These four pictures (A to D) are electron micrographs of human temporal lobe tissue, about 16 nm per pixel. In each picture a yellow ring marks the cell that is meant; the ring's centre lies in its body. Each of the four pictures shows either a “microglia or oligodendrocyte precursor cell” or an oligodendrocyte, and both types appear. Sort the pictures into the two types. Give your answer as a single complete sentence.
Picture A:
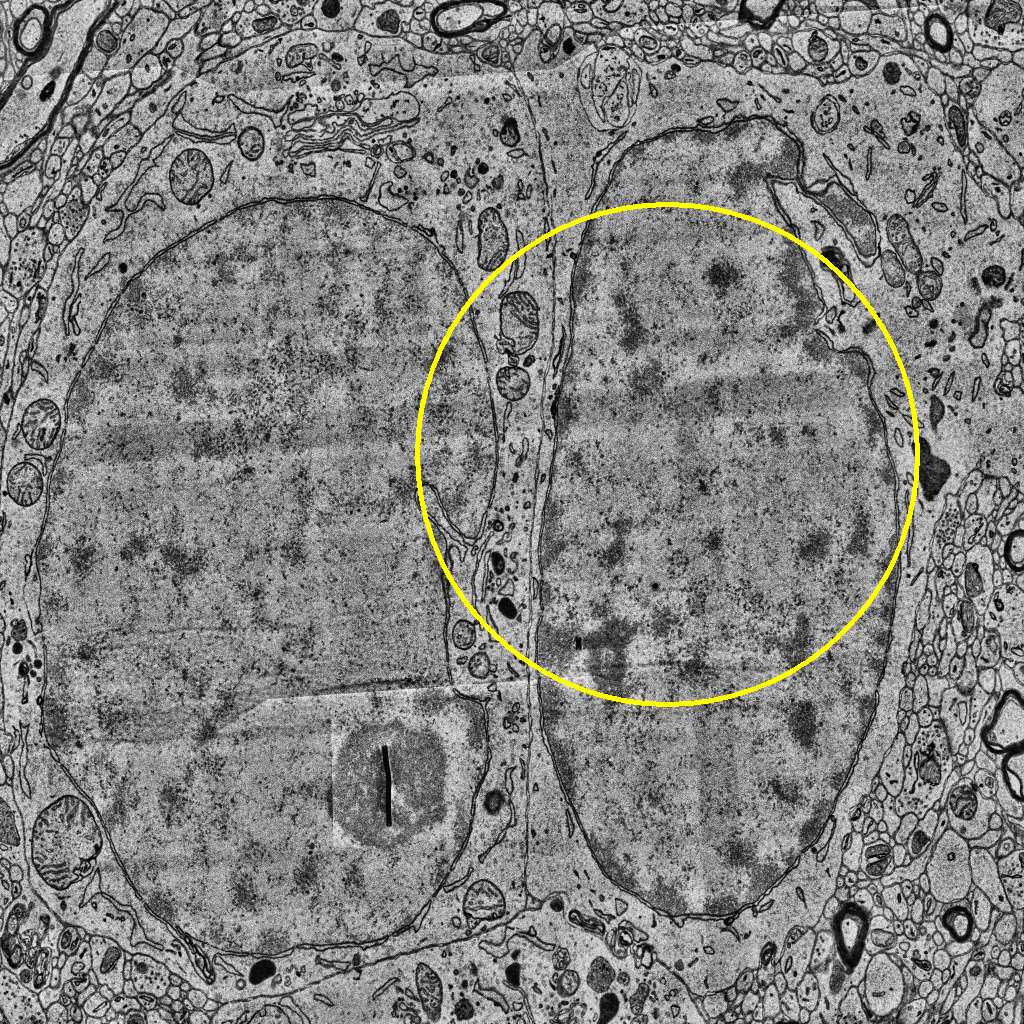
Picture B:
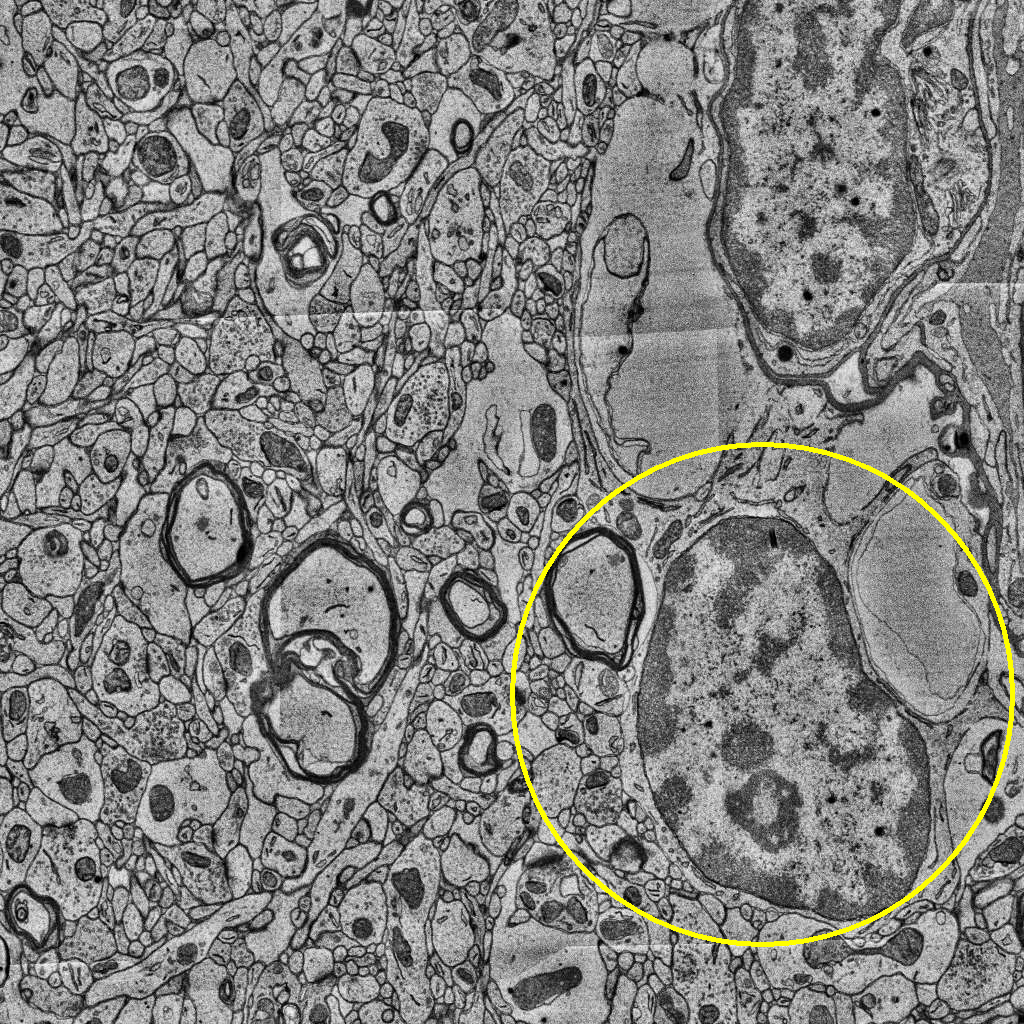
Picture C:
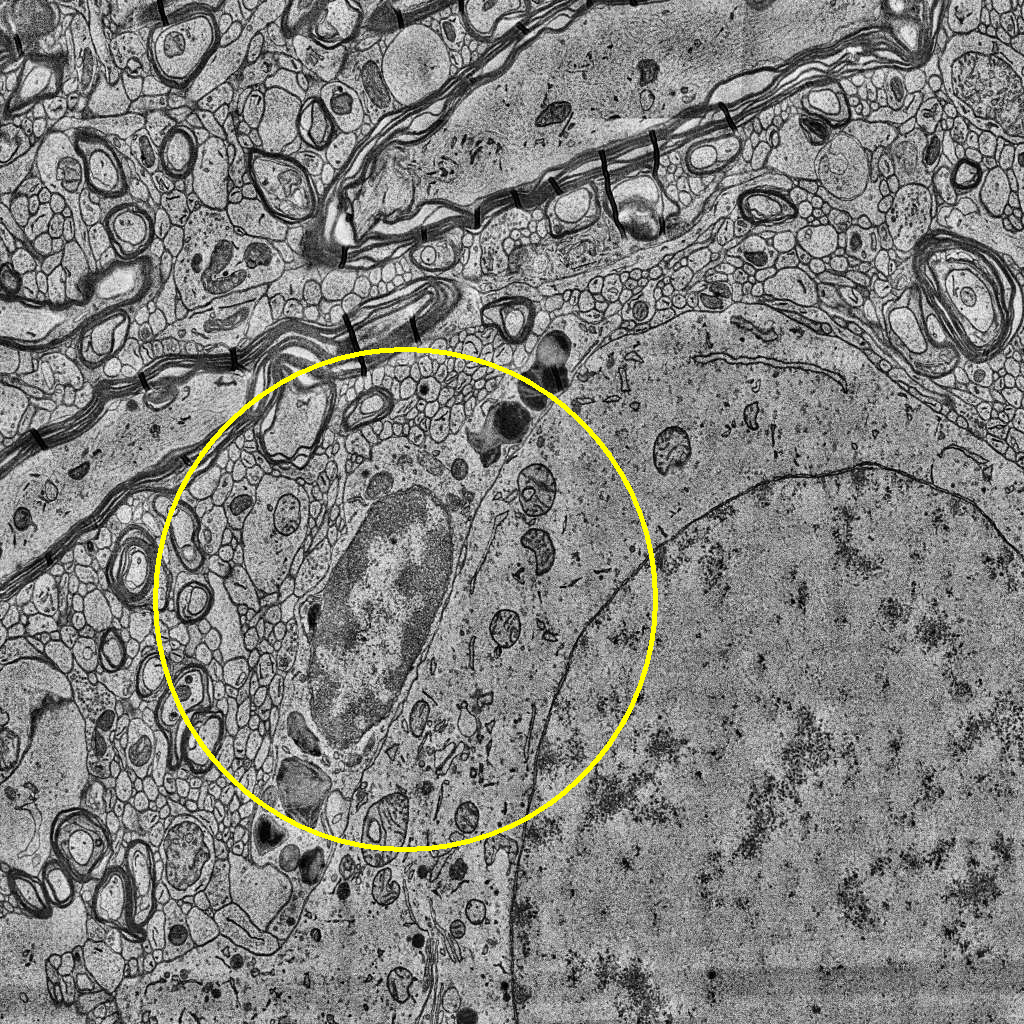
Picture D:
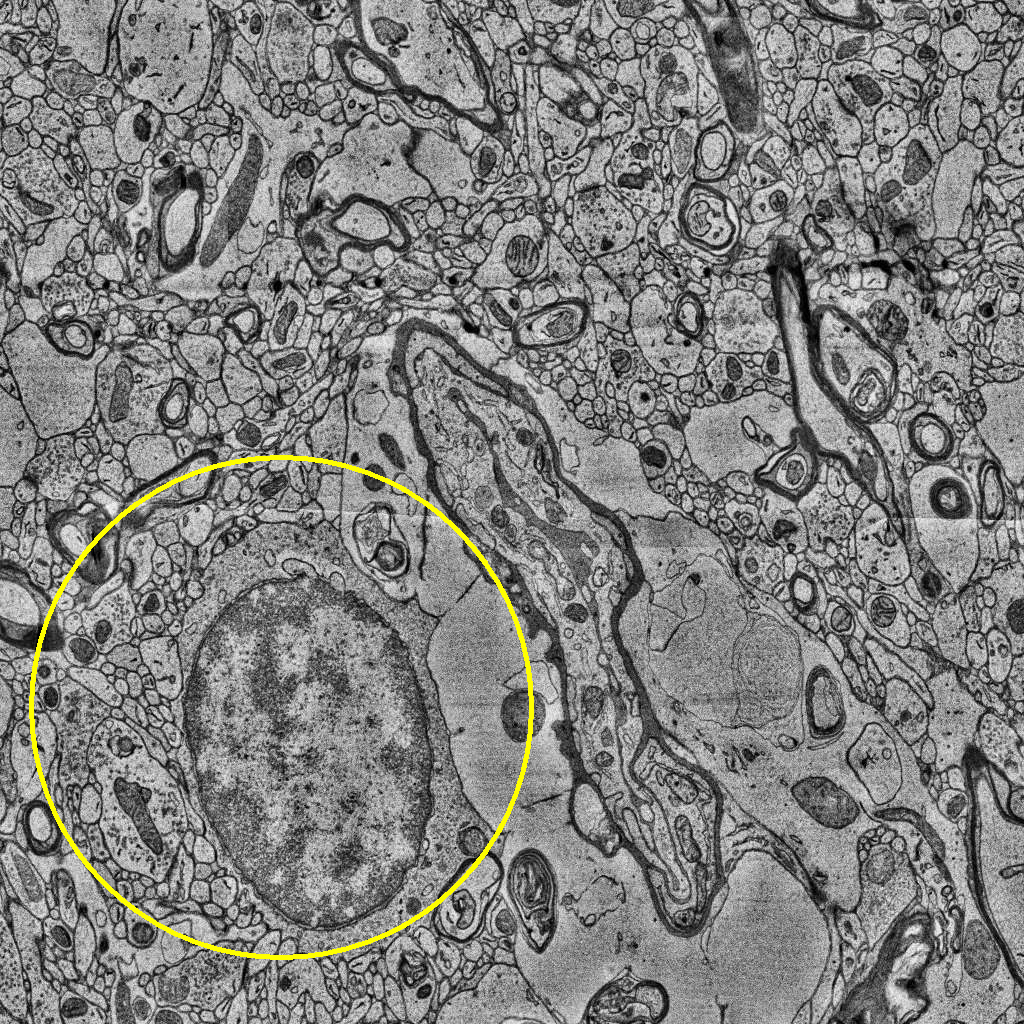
Pictures A, B and C show “microglia or oligodendrocyte precursor cells”; picture D shows an oligodendrocyte.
